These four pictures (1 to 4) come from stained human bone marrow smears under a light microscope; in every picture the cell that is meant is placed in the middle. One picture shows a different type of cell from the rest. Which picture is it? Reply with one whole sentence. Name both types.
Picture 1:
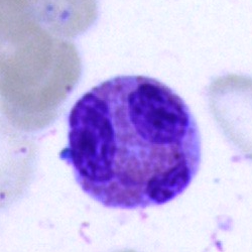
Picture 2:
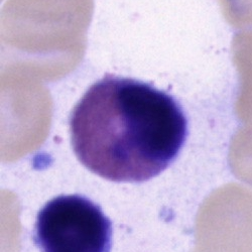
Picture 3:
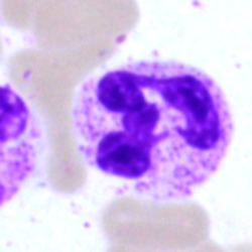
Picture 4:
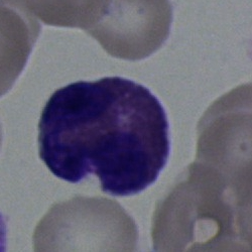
Picture 3 is the odd one out: it shows a segmented neutrophil, while the others show eosinophils.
